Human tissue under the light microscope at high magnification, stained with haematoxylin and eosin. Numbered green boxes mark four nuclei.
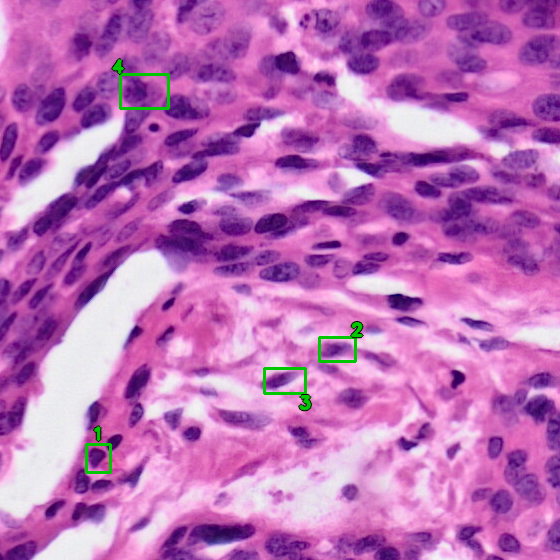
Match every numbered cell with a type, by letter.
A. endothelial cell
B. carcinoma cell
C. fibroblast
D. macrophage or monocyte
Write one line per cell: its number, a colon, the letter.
1: A
2: C
3: C
4: B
